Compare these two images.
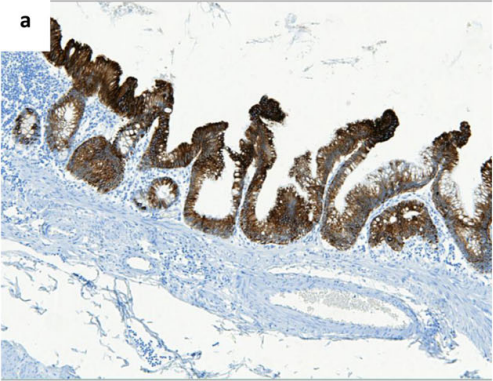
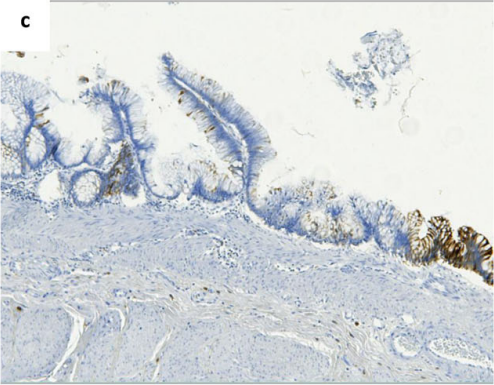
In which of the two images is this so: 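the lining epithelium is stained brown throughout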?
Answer: The first image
